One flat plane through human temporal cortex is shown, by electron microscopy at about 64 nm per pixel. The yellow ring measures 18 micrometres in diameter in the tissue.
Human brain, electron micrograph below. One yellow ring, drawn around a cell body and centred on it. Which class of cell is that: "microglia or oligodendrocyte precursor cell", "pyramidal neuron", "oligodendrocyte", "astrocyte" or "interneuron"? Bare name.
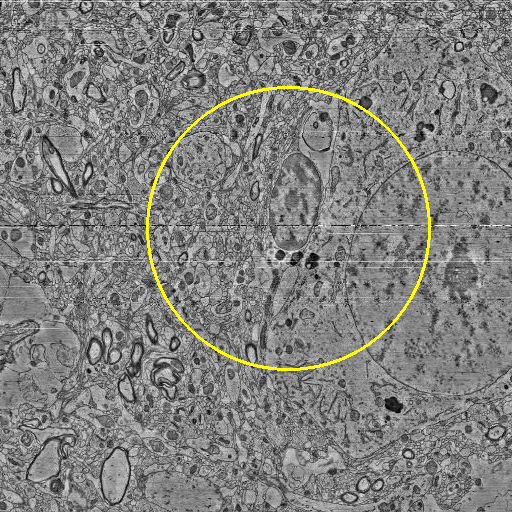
microglia or oligodendrocyte precursor cell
